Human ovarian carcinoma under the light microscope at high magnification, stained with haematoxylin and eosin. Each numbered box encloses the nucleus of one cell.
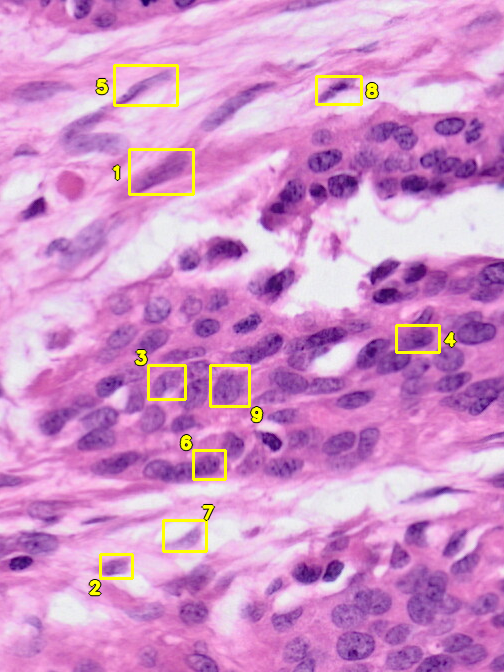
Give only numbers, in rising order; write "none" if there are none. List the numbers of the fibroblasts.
1, 2, 5, 7, 8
